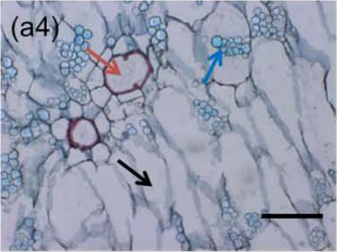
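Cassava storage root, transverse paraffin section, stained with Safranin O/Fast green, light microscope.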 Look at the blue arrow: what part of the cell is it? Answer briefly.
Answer: Starch granules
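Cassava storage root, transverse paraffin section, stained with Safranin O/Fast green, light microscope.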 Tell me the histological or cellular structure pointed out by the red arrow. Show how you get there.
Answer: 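The arrowed element has a thick red-stained wall. It is ringed by small thin-walled cells. That points to this answer: xylem vessel.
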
